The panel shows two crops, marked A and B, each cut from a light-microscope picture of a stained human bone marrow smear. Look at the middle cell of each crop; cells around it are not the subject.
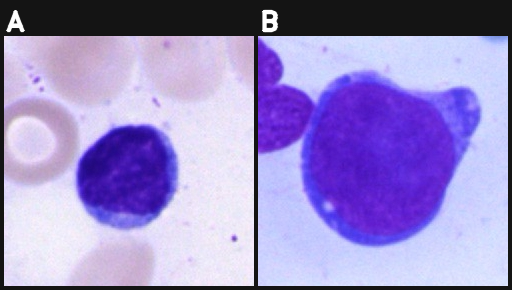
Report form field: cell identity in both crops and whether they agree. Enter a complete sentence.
No, crop A gives us a lymphocyte and crop B gives us a blast.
